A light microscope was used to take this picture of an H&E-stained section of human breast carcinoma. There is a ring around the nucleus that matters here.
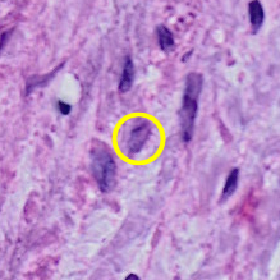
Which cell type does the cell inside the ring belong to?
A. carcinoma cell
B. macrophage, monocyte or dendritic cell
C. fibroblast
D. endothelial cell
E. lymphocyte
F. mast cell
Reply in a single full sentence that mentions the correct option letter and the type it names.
It is option B that correctly calls the cell inside the ring a macrophage, monocyte or dendritic cell.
